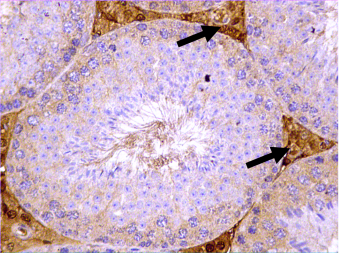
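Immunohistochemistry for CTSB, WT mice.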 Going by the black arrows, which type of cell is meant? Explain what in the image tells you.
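Leydig cells. The arrows point into the triangular spaces between the round tubules. The cells in these spaces are clustered and stained dark brown.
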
